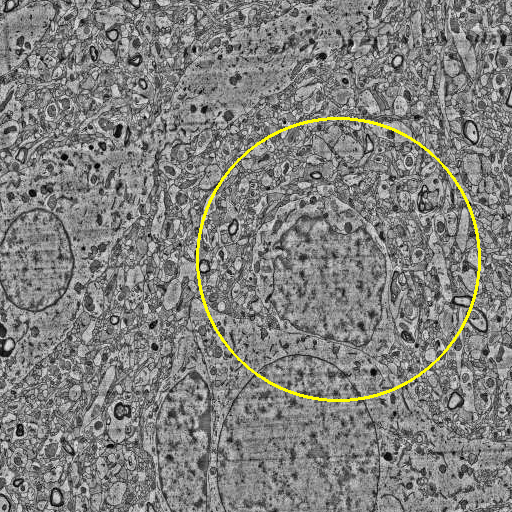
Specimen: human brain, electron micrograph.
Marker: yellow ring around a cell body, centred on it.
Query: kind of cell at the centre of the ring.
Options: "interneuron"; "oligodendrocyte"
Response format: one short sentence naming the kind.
This cell body belongs to an interneuron.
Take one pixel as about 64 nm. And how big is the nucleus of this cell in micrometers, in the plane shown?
The nucleus measures about 8 micrometers across in this plane.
